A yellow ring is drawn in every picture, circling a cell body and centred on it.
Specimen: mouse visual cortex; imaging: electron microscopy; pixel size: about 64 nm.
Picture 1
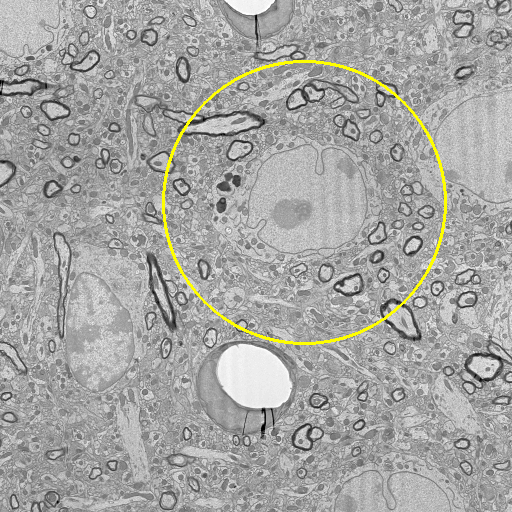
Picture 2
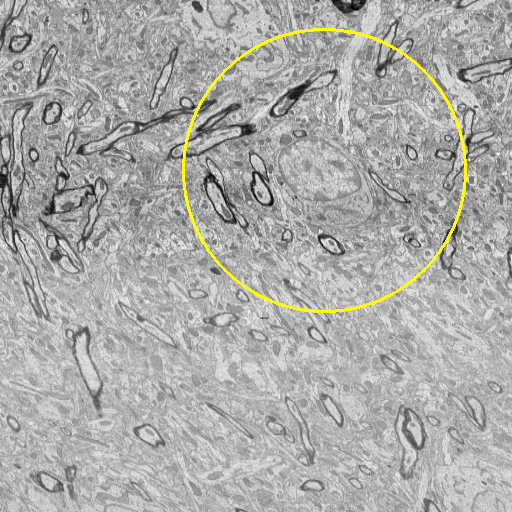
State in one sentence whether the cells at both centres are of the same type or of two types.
The cells at the two ring centres, one per picture, are of two types.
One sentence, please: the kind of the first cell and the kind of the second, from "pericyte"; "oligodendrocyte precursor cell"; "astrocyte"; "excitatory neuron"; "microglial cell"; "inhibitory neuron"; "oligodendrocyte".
The ring in the first picture surrounds an excitatory neuron, and the ring in the second surrounds an oligodendrocyte.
